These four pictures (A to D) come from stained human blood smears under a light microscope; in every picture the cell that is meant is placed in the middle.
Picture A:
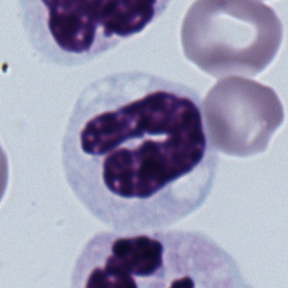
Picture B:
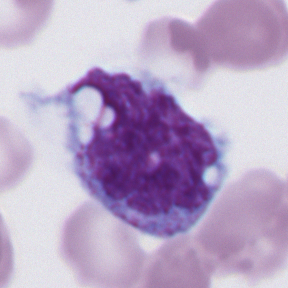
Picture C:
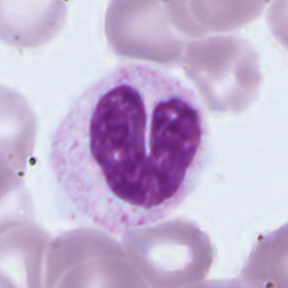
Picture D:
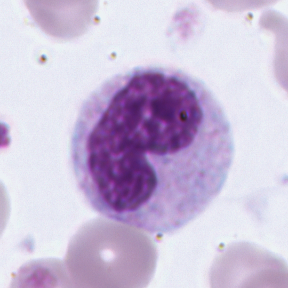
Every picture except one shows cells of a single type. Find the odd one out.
B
